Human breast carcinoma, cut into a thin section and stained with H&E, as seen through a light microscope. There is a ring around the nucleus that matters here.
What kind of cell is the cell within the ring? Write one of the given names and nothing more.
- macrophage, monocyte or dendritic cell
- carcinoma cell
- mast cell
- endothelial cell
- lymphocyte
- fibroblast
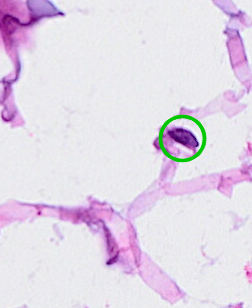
fibroblast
